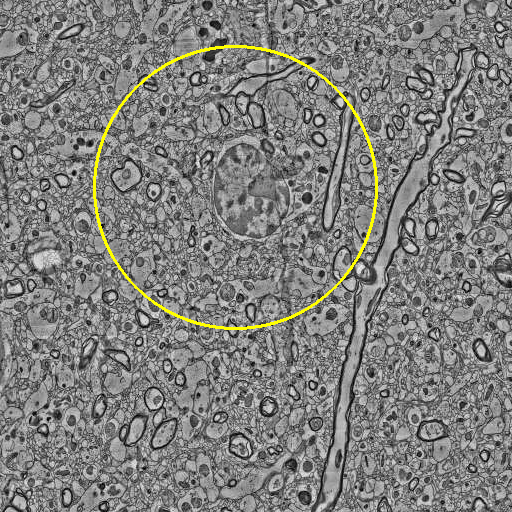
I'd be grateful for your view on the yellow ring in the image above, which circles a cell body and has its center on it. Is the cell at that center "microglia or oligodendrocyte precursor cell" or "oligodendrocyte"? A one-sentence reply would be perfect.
The cell at the center of the yellow ring is a microglial cell or oligodendrocyte precursor cell.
